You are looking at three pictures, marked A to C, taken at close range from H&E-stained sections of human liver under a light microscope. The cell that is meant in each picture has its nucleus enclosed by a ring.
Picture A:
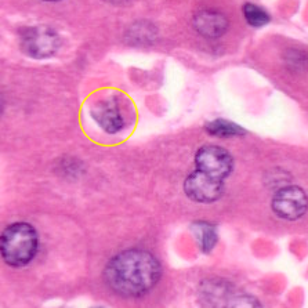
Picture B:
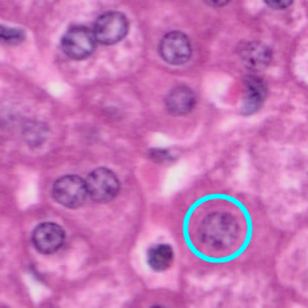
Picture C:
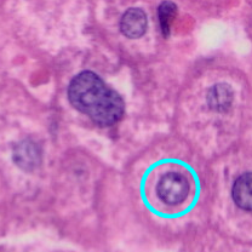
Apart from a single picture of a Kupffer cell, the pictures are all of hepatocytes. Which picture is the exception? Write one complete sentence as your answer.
It is picture A that shows the Kupffer cell.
